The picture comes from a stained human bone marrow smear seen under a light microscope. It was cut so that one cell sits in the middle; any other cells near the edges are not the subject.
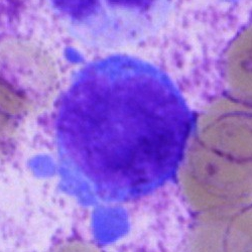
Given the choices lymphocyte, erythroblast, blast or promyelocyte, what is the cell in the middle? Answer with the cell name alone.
blast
